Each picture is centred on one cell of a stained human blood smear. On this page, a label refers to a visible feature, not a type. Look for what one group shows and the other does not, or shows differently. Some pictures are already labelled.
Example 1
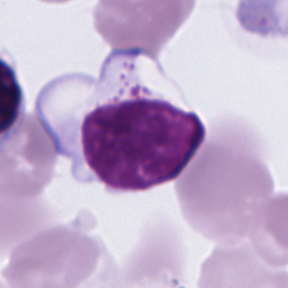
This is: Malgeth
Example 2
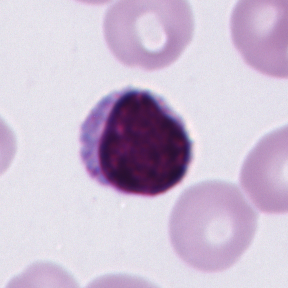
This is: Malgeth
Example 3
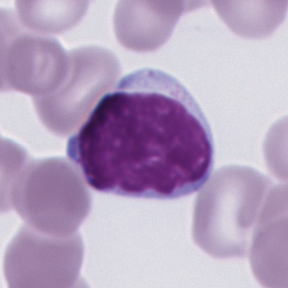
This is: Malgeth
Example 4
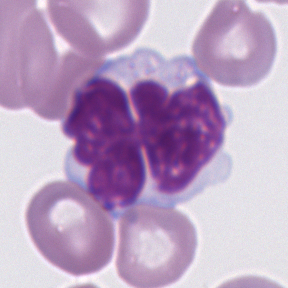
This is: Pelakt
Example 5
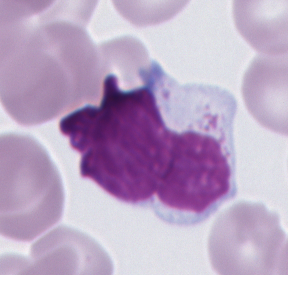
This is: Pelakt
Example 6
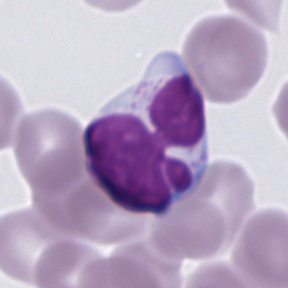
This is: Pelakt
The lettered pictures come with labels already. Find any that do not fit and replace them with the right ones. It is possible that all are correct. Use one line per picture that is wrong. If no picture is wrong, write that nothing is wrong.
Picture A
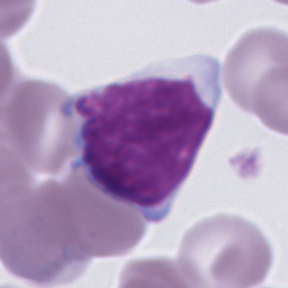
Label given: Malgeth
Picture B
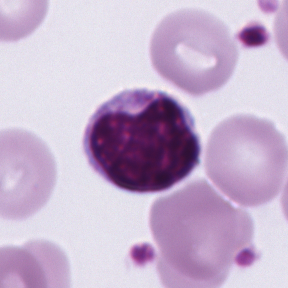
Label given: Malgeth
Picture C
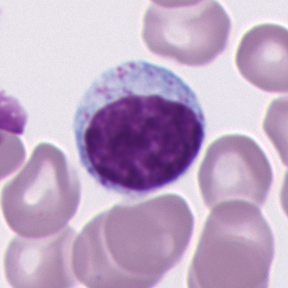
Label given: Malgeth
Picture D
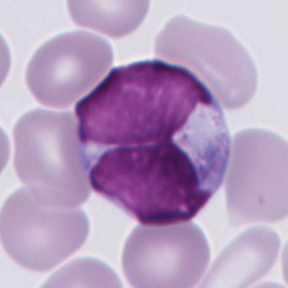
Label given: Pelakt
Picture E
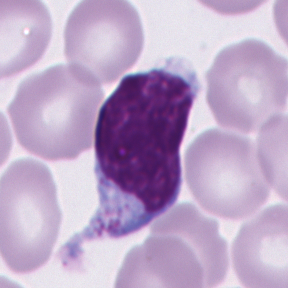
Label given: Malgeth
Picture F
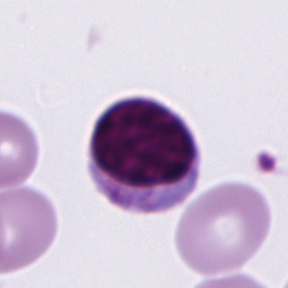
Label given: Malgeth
None of the labels needs changing.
